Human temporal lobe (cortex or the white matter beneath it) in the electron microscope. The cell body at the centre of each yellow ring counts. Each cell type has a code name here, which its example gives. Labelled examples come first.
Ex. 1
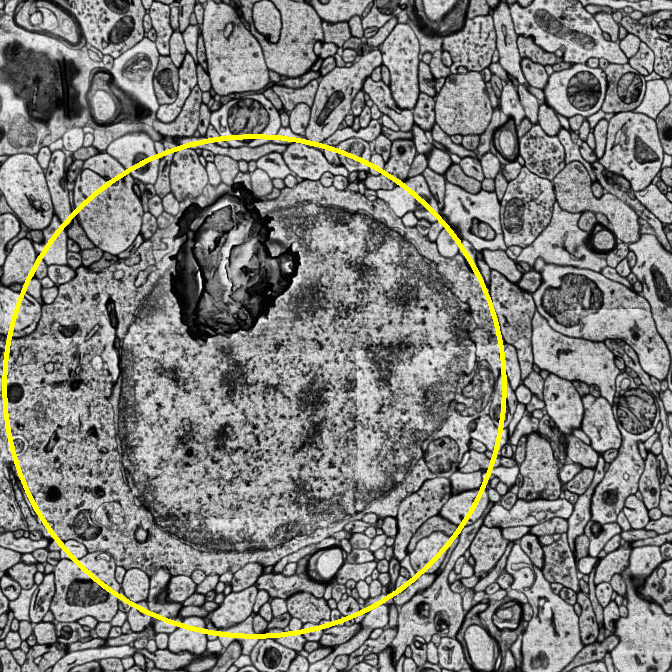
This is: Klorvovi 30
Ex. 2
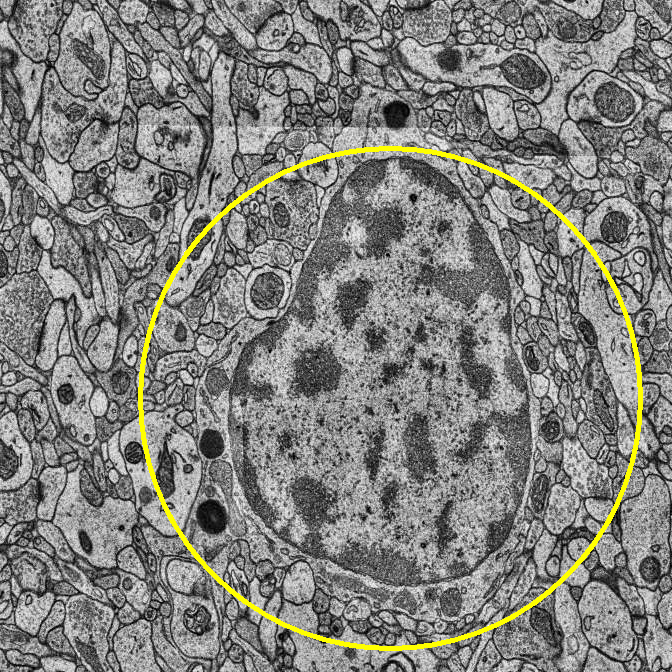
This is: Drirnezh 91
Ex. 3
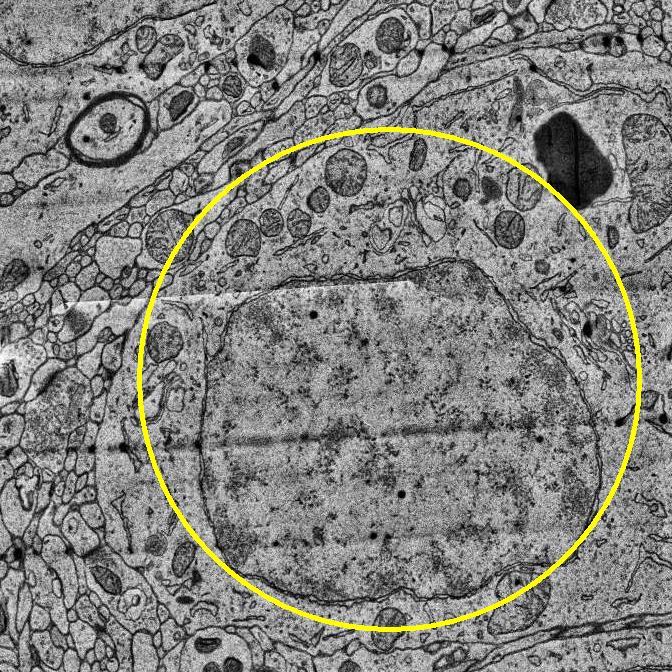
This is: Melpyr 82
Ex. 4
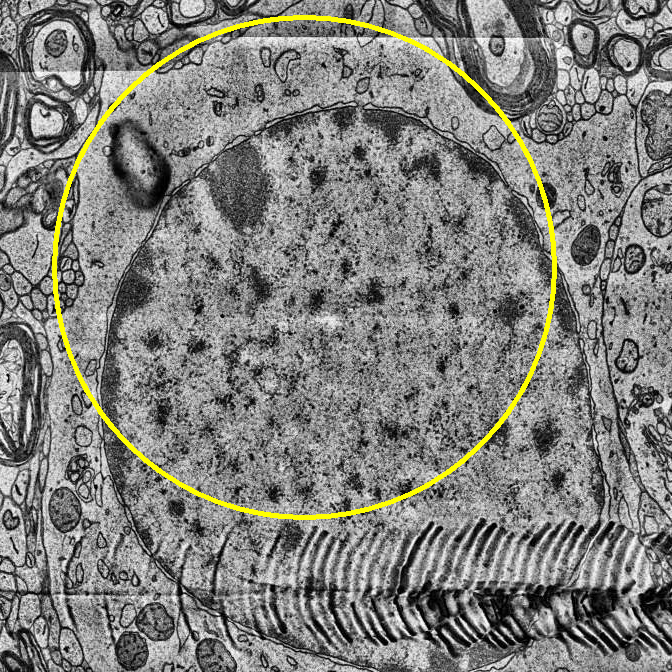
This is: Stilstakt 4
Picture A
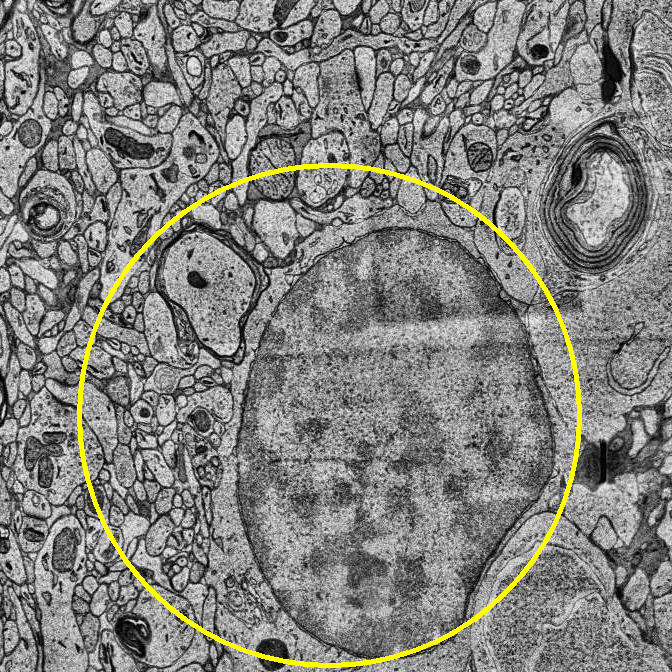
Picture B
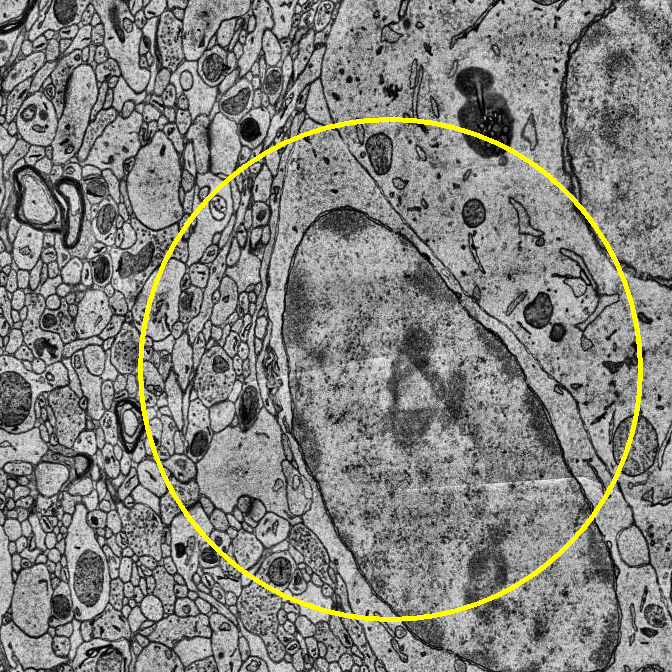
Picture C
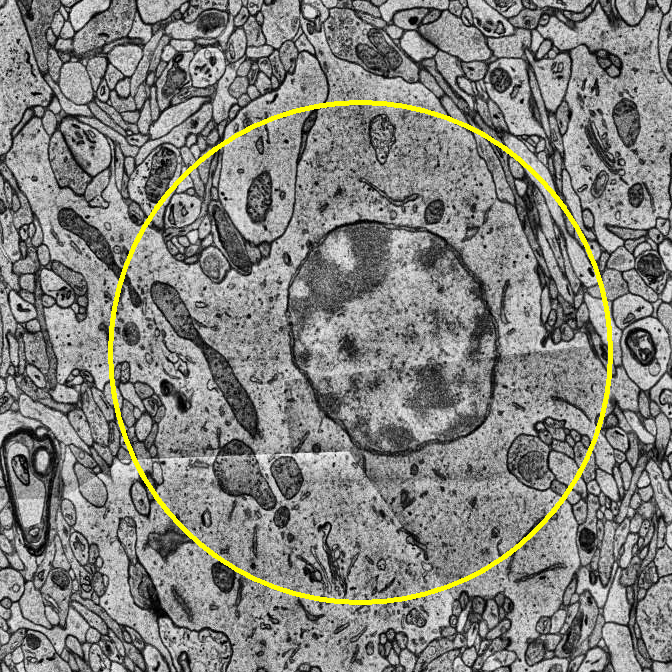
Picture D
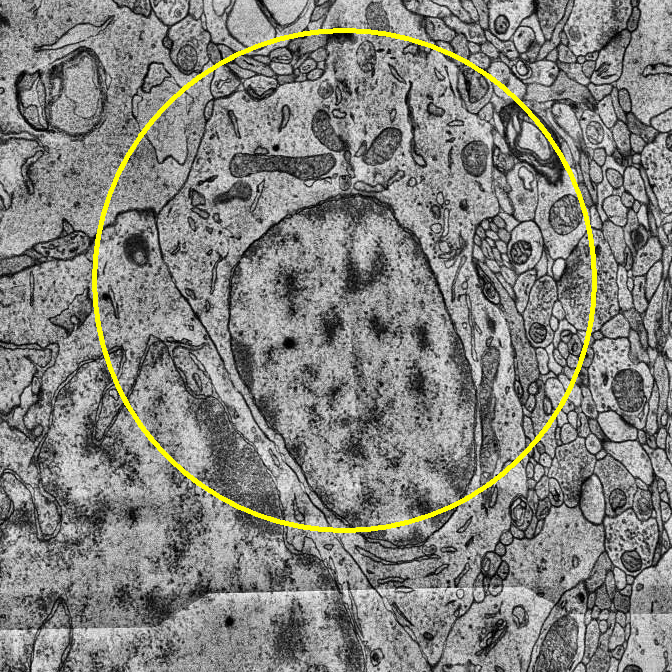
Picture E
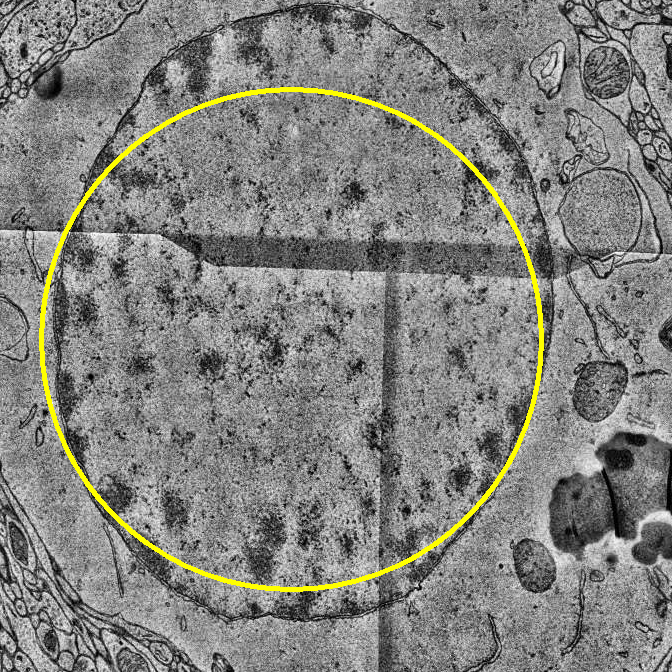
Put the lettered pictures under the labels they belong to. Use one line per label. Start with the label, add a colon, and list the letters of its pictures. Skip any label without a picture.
Klorvovi 30: A
Drirnezh 91: B, D
Stilstakt 4: C, E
